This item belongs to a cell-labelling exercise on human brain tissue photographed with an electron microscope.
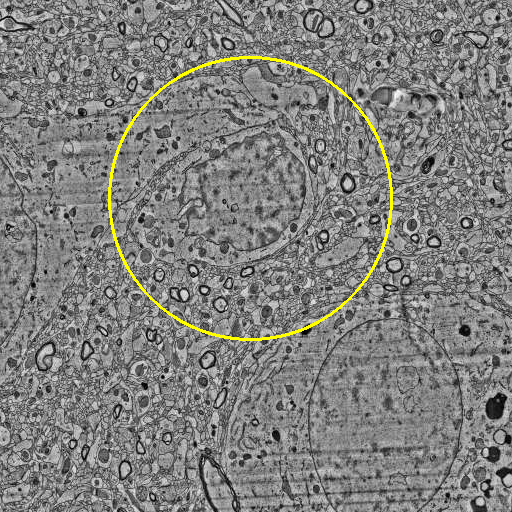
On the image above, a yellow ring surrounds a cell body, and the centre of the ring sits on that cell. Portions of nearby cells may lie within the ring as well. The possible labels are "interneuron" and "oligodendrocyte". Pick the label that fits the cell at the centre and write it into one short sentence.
This cell should be labelled as an interneuron.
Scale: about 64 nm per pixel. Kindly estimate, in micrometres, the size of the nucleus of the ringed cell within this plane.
The nucleus of the ringed cell is approximately 9 by 7 micrometres in this plane.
